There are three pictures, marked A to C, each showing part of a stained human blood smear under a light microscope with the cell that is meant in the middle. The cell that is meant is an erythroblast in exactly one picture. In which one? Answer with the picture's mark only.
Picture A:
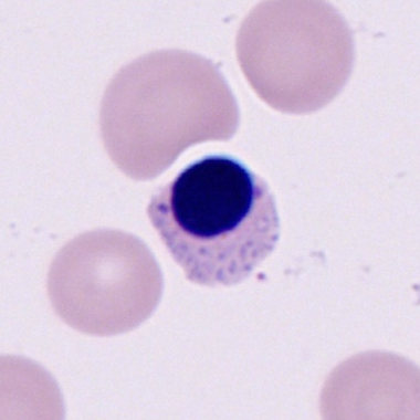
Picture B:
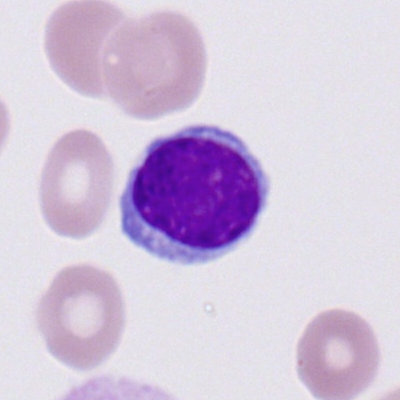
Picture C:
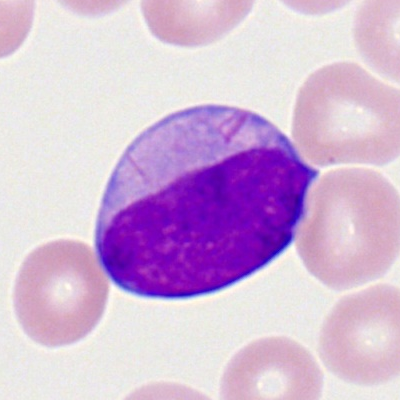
A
